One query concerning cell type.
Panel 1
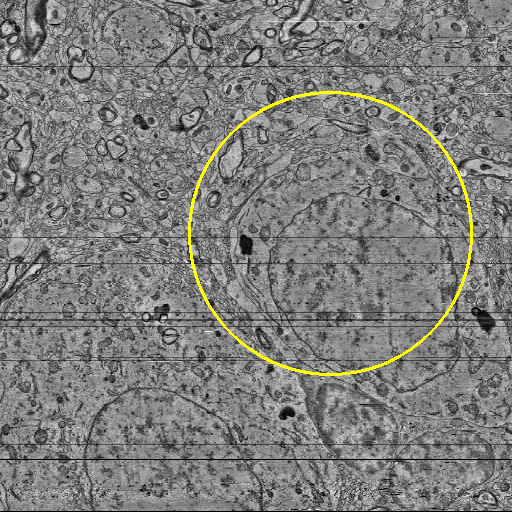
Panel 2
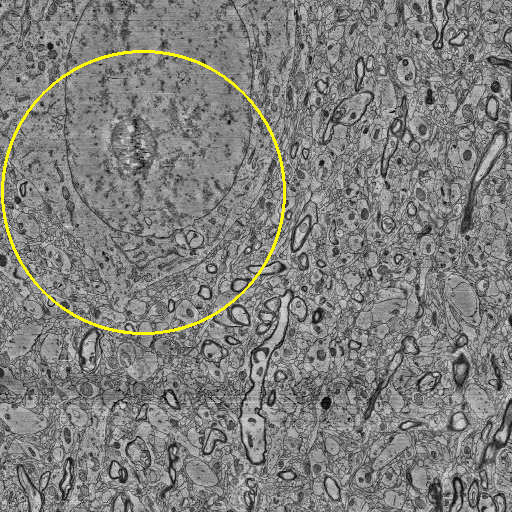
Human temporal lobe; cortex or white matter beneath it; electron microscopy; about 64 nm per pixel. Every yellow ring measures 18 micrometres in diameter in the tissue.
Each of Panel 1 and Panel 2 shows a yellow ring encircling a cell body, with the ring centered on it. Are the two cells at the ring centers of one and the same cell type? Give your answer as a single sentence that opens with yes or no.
Yes, the cell centered in Panel 1 and the one in Panel 2 share a type.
